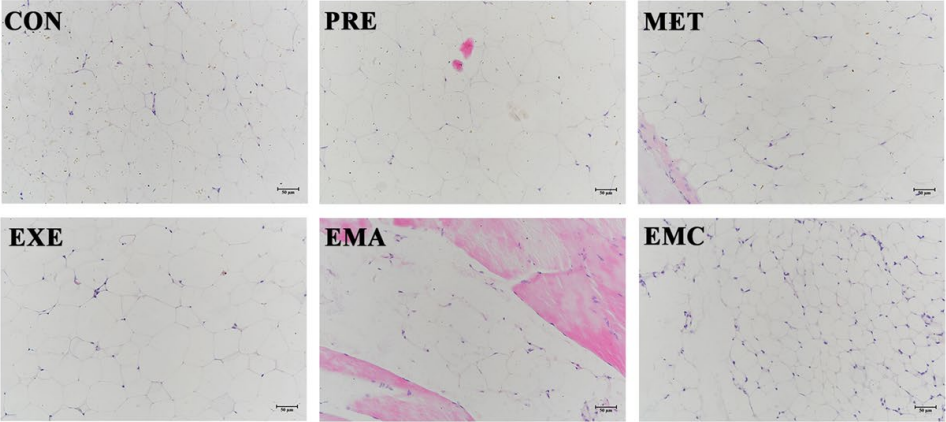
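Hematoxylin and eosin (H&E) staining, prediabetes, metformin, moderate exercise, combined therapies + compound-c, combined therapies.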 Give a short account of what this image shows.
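These are six fields of fat tissue made of large, rounded-polygonal adipocytes whose interiors look empty and unstained, packed together in a honeycomb pattern. Thin pale septa separate the cells, and small flat dark purple nuclei lie pressed at their margins. In some fields bands of pink-staining tissue run alongside the fat.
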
